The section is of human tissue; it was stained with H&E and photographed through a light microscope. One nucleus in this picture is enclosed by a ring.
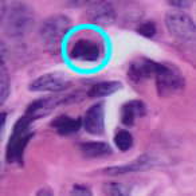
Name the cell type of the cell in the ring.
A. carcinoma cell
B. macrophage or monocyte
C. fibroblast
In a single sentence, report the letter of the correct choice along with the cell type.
The correct choice is option A; the cell in the ring is a carcinoma cell.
